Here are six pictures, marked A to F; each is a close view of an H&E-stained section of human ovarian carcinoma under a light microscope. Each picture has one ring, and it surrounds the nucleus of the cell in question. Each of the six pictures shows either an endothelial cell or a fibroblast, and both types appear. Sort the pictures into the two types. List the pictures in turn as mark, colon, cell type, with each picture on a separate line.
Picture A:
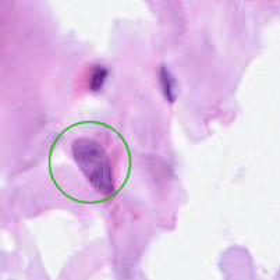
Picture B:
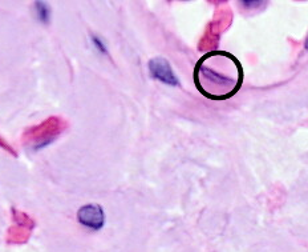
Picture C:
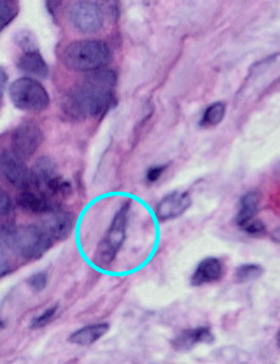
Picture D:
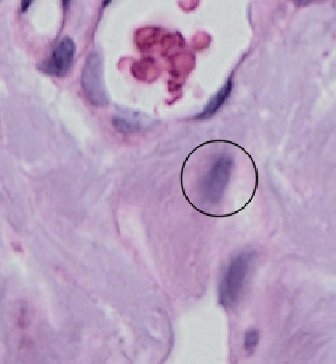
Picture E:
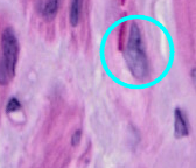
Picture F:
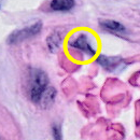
A: fibroblast
B: endothelial cell
C: fibroblast
D: endothelial cell
E: endothelial cell
F: endothelial cell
